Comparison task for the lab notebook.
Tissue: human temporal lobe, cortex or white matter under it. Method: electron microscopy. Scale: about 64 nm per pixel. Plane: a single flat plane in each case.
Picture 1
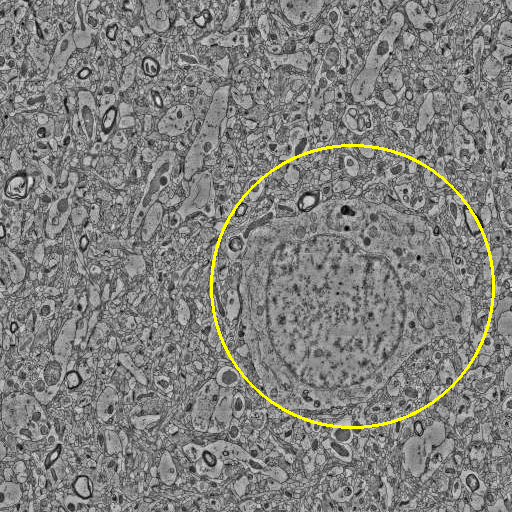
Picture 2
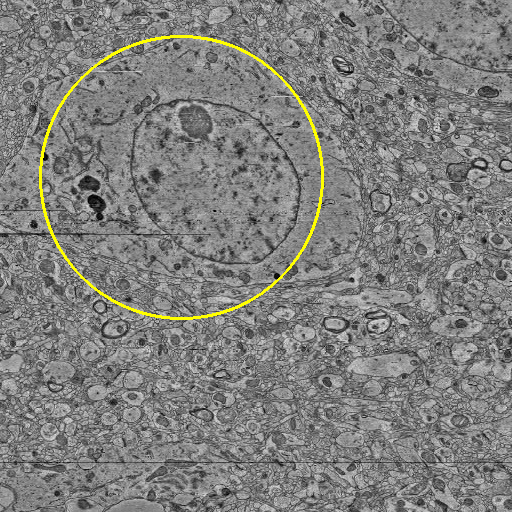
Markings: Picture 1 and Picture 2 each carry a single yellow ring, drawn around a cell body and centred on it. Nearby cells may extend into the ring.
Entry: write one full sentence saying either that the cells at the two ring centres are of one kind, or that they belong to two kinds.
The cells sitting at the ring centres in Picture 1 and Picture 2 belong to two kinds.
